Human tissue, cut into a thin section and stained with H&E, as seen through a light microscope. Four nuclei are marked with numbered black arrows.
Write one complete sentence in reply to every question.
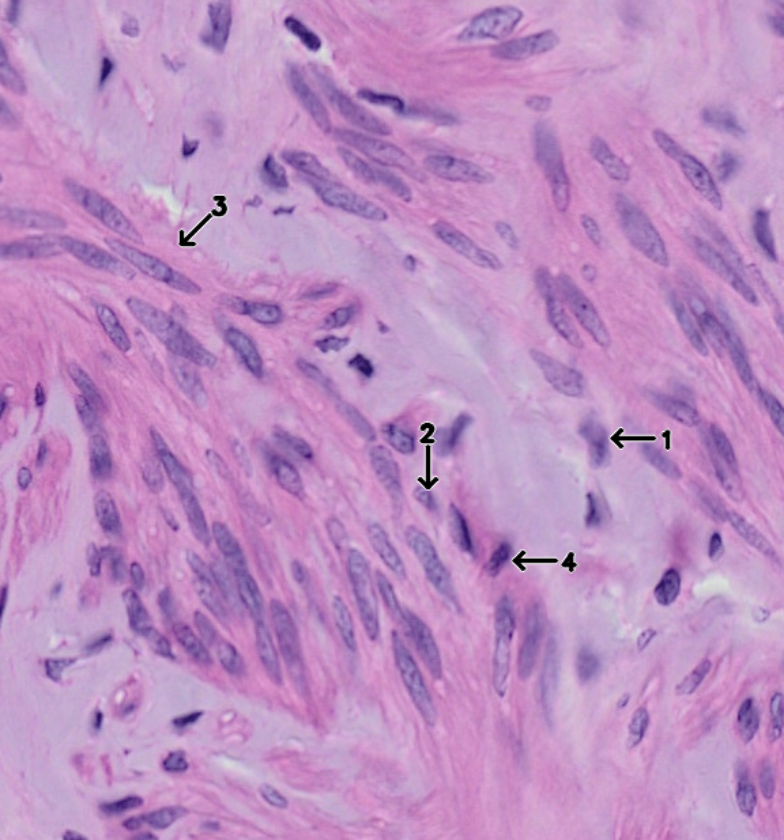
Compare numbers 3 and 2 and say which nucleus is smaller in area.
Nucleus 2 is the smaller one; nucleus 3 covers about 4 times its area.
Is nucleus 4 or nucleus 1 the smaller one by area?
Nucleus 4 is the smaller one; nucleus 1 covers about 2.5 times its area.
